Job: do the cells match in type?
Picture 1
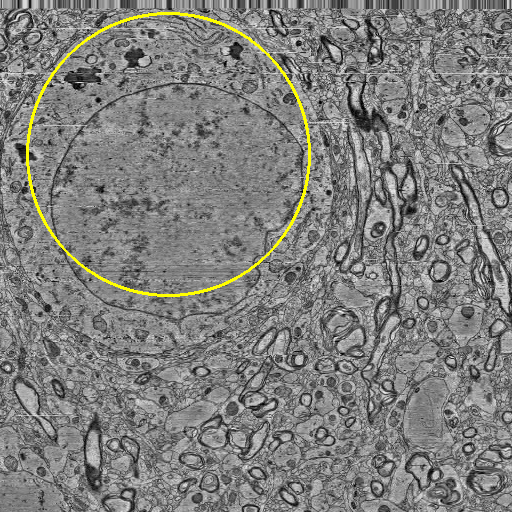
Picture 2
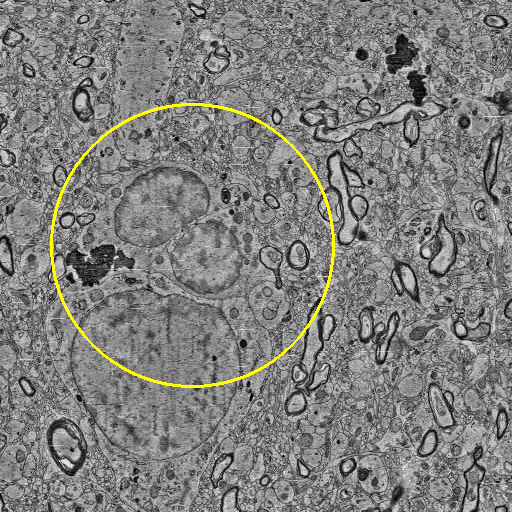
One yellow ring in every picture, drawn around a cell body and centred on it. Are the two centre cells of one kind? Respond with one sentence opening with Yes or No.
No, the ringed cells in the two pictures are of two separate kinds.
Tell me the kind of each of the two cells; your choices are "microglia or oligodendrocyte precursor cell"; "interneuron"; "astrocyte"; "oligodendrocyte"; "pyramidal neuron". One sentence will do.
The ringed cell is a pyramidal neuron in the first picture and an oligodendrocyte in the second picture.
